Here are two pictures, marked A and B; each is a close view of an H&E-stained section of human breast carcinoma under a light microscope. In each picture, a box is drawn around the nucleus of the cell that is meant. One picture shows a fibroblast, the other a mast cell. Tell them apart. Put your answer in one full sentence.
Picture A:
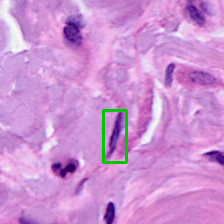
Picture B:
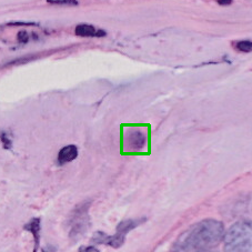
Picture B shows a mast cell, while picture A shows a fibroblast.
